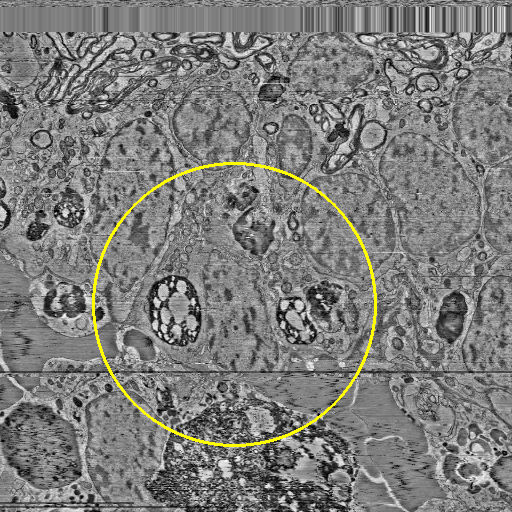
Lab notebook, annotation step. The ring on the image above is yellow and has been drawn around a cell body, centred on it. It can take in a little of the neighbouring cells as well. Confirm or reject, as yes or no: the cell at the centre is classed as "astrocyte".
Yes, confirmed for that class.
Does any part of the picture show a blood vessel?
Yes.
